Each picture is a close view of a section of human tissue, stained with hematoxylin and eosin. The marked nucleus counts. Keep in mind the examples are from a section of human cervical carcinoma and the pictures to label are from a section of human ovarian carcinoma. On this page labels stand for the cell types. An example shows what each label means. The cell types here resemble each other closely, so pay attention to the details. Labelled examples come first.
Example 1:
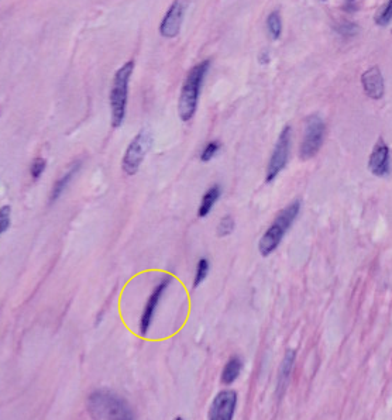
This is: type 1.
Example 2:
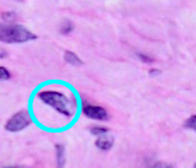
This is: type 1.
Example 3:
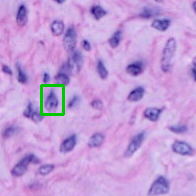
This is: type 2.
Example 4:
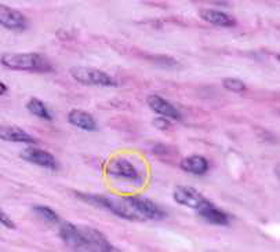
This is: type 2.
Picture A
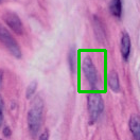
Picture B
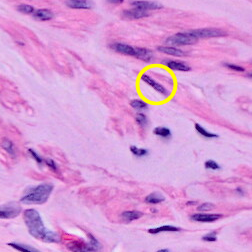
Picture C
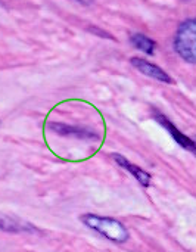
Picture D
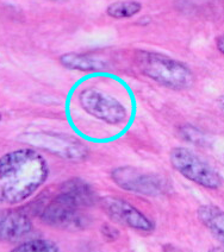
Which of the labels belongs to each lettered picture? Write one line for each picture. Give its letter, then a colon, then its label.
A: type 2.
B: type 2.
C: type 1.
D: type 1.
